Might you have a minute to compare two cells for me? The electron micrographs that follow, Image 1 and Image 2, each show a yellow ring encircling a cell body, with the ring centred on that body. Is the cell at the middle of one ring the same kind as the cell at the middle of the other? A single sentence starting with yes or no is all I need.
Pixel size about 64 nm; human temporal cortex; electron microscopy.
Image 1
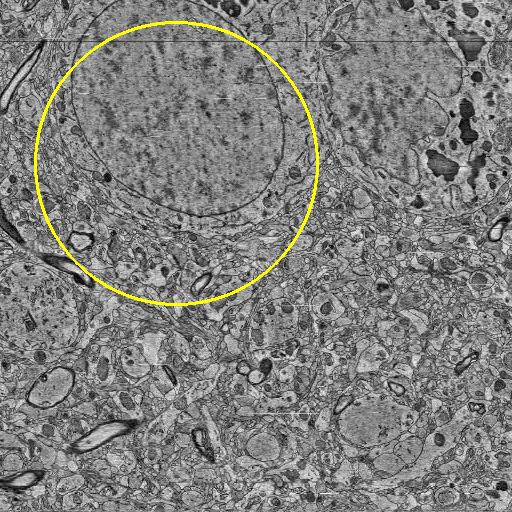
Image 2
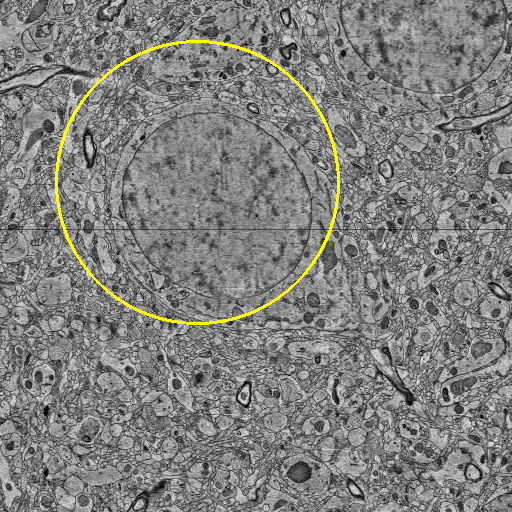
Yes, the cells in the middle of the two rings are of one shared kind.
